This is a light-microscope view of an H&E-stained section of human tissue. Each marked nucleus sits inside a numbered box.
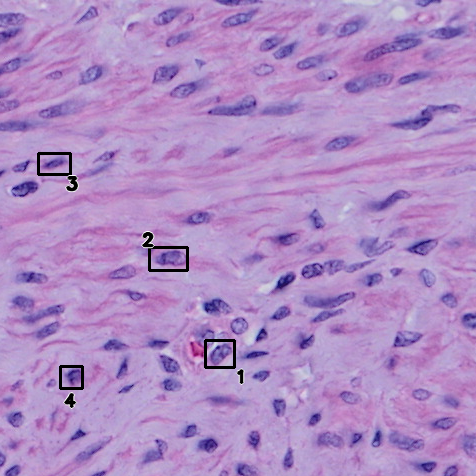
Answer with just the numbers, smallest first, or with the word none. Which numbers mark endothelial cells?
1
